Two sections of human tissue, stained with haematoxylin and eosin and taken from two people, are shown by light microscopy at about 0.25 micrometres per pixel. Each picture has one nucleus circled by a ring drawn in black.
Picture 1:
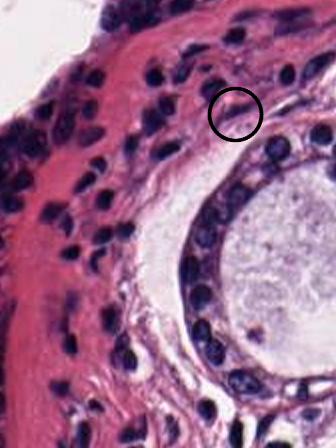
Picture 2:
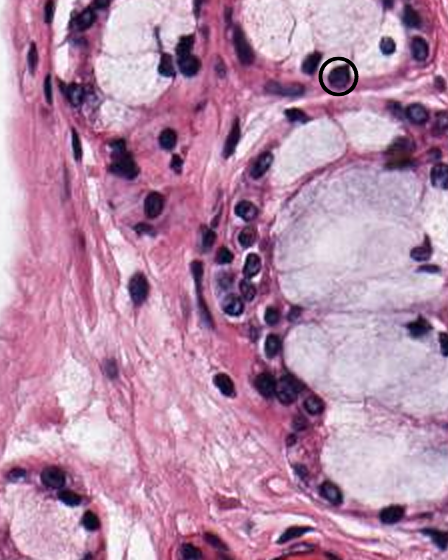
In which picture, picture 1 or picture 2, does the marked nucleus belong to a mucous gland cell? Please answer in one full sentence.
The marked nucleus in picture 2 is a nucleus of a mucous gland cell.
